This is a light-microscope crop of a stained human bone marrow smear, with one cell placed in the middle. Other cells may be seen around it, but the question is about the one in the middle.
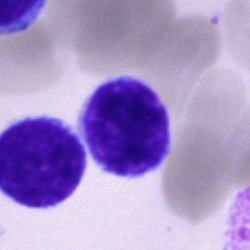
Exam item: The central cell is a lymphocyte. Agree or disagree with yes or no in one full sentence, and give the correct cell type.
Yes, the middle cell in this crop is a lymphocyte.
